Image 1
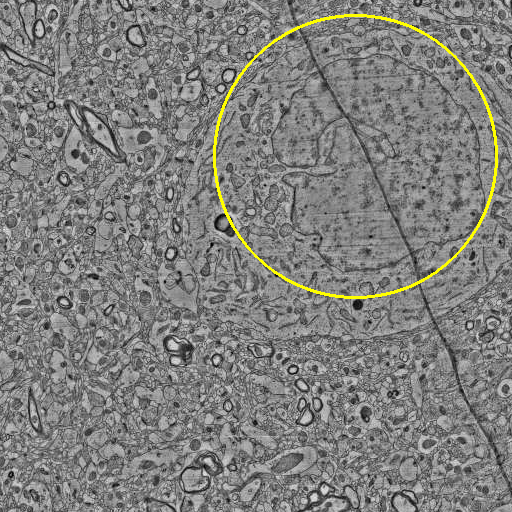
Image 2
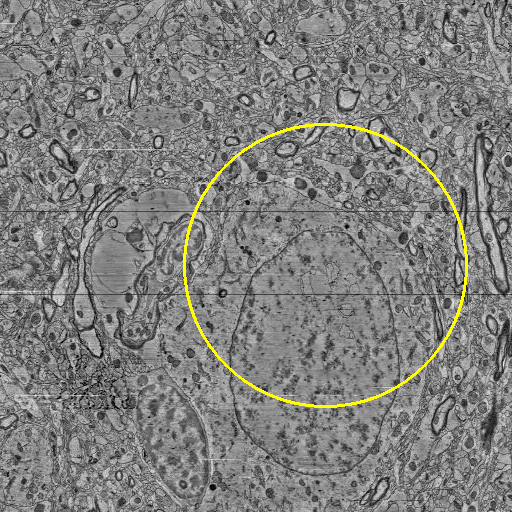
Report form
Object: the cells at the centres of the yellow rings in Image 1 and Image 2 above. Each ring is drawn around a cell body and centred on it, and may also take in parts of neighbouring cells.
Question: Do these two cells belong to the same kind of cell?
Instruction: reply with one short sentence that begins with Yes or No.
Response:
No, they belong to two kinds of cell.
